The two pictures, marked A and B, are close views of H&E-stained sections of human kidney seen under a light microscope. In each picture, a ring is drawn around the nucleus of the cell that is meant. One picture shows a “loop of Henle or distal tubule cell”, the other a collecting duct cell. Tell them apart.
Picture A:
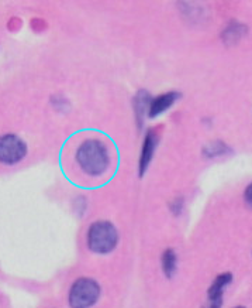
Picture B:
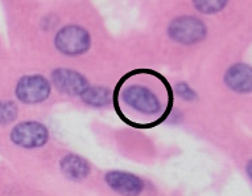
A: loop of Henle or distal tubule cell
B: collecting duct cell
